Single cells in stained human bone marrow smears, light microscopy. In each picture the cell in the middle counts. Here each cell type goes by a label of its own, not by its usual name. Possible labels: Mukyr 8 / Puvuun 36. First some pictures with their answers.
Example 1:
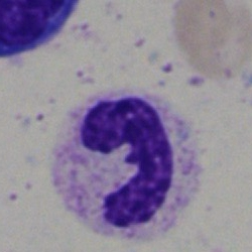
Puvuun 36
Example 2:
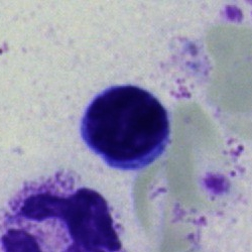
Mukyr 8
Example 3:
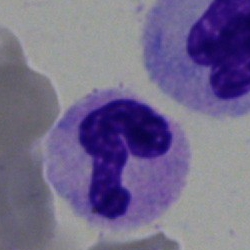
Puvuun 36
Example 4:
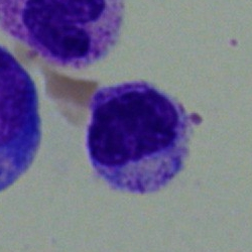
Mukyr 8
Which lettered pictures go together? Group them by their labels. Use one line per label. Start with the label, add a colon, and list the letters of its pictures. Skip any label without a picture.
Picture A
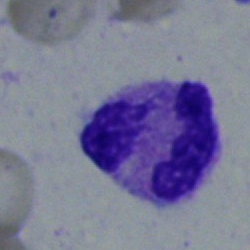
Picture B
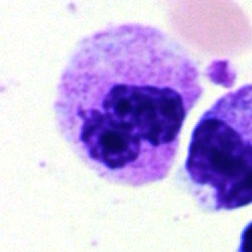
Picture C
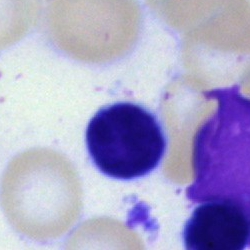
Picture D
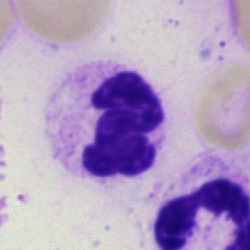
Mukyr 8: C
Puvuun 36: A, B, D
